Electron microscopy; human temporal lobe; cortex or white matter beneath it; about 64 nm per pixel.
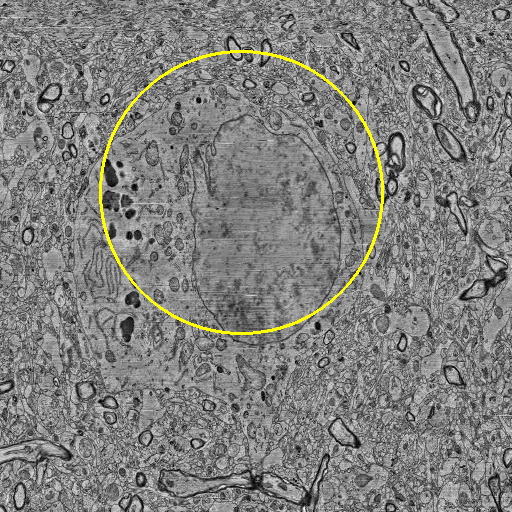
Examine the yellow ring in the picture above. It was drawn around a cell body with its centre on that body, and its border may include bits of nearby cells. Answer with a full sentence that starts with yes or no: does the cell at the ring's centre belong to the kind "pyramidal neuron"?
Yes, the cell at the heart of the ring shown in the image is of that kind.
